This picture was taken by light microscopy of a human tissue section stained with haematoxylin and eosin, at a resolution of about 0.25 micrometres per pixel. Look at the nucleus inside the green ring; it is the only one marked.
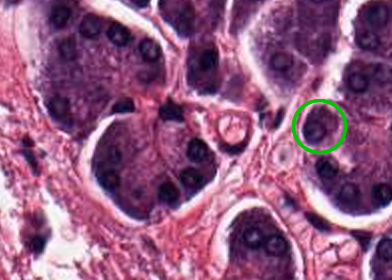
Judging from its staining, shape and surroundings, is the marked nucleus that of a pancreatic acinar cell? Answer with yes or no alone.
yes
